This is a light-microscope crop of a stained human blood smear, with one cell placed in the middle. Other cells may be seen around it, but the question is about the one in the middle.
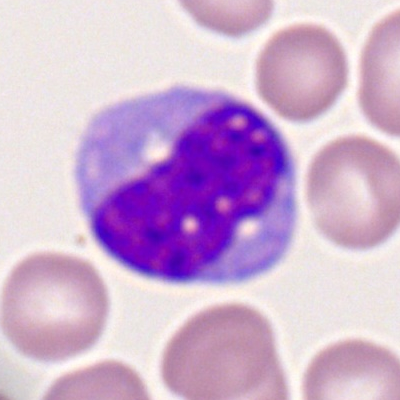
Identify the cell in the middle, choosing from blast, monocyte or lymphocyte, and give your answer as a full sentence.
Whatever else lies nearby, the middle cell is a monocyte.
